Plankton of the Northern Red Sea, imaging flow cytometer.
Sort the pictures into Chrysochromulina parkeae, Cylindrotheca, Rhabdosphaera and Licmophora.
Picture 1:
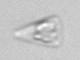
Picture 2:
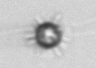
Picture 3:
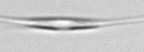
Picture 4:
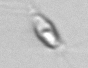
Licmophora: 1
Rhabdosphaera: 2
Cylindrotheca: 3
Chrysochromulina parkeae: 4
